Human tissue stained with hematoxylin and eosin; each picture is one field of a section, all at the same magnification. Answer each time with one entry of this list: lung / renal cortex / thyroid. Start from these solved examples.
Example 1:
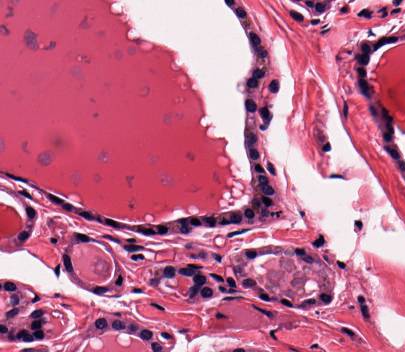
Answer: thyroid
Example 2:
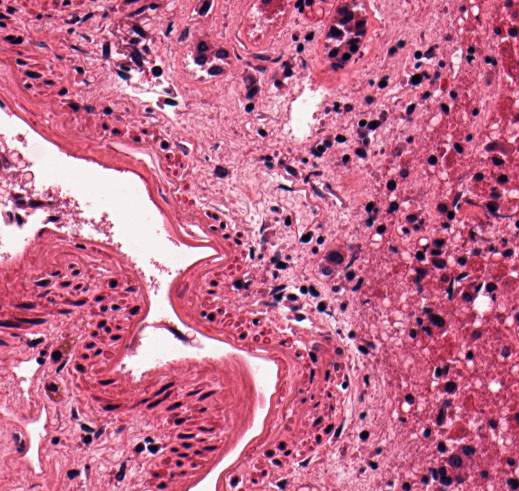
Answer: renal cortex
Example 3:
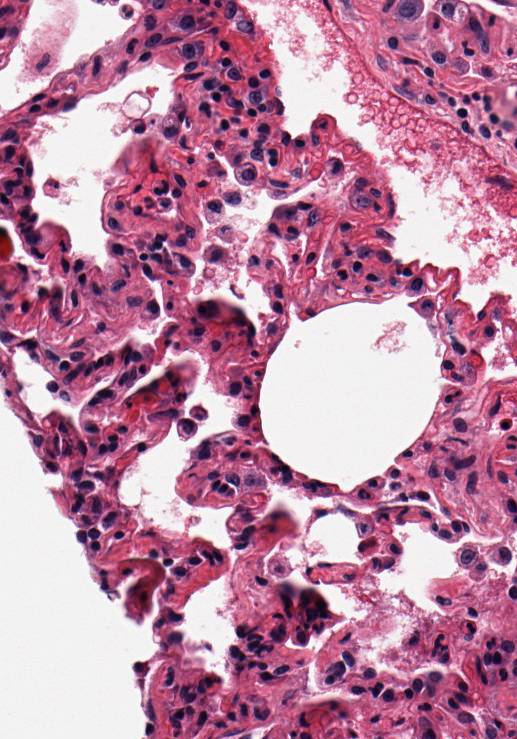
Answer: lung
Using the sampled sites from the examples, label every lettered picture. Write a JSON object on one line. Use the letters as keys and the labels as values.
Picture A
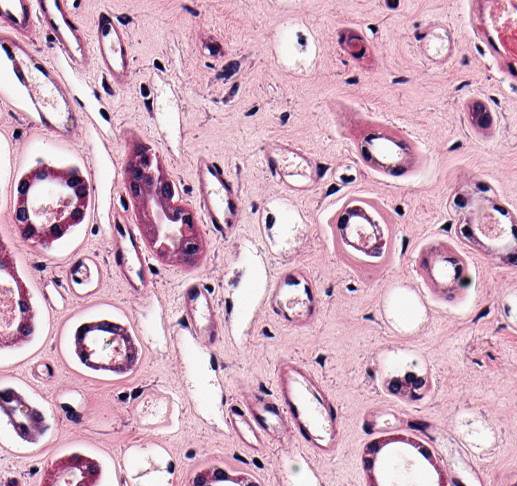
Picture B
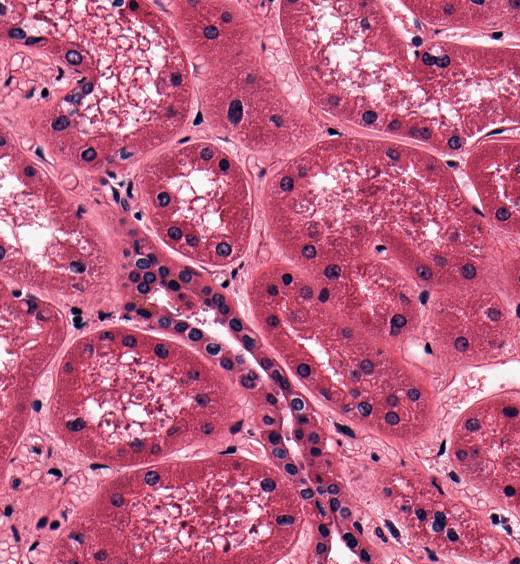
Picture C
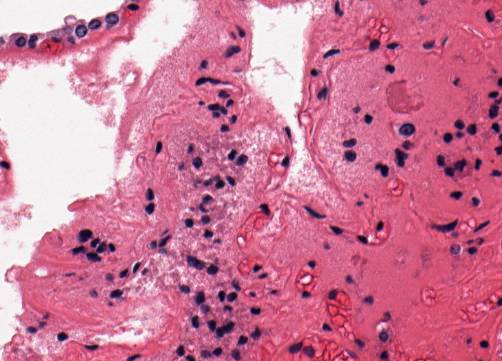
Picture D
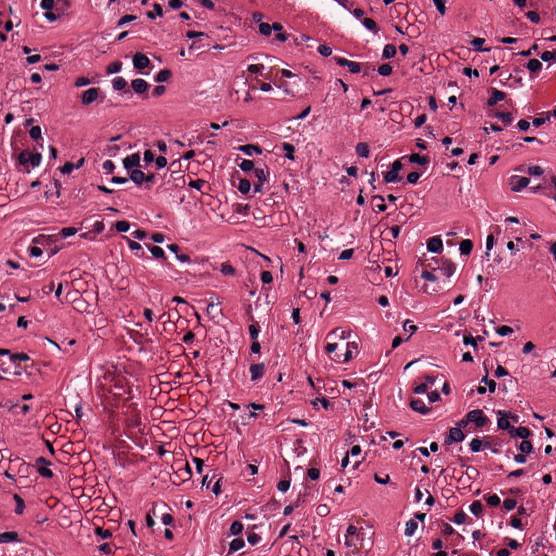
{"A": "renal cortex", "B": "renal cortex", "C": "thyroid", "D": "renal cortex"}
